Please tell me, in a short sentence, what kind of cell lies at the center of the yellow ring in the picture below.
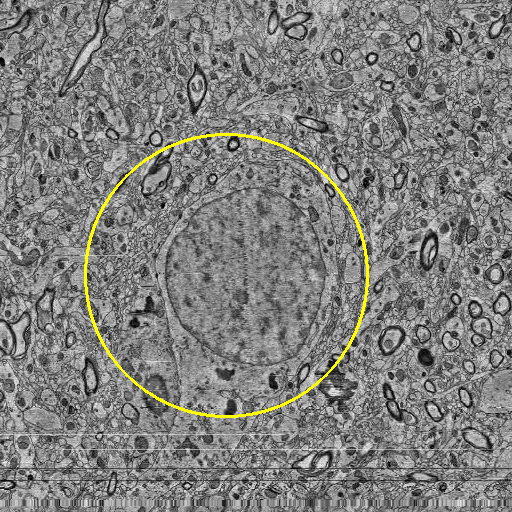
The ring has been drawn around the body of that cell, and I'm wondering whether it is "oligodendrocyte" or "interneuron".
The cell at the center of the ring is an interneuron.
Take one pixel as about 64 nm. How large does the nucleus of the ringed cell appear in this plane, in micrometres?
Approximately 12 by 10 micrometers in this plane.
